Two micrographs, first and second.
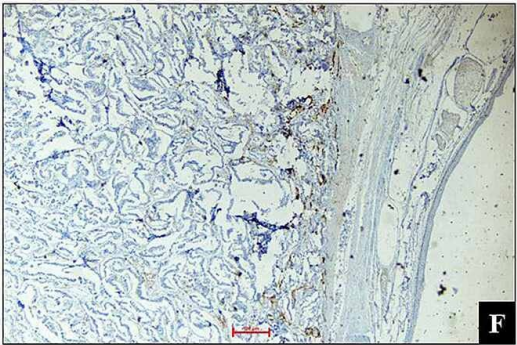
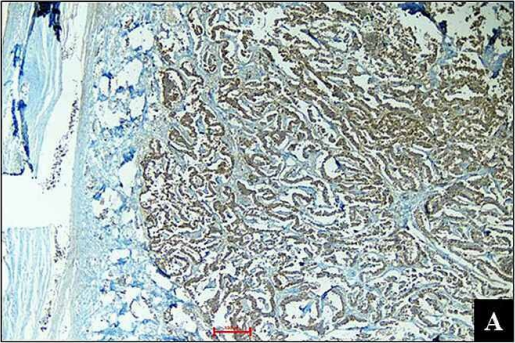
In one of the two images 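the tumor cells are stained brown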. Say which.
The second image.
